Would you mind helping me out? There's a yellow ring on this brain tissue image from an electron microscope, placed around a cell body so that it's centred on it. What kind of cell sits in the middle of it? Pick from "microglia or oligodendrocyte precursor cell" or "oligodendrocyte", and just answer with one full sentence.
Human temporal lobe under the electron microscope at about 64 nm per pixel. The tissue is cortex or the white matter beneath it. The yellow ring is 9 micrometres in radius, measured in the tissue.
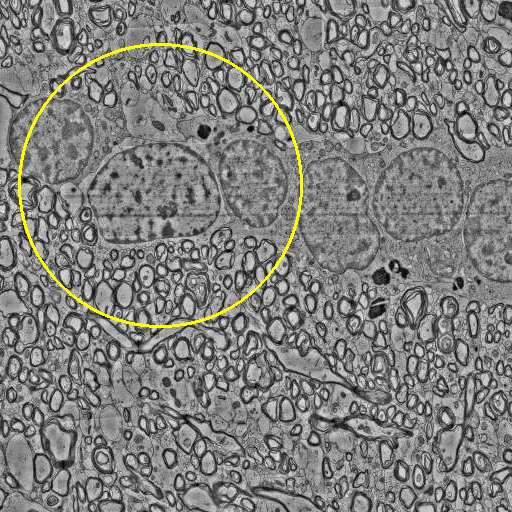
What sits in the middle of that yellow ring is a microglial cell or oligodendrocyte precursor cell, from your choices.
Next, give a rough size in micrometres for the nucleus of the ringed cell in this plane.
In this plane, the nucleus is roughly 9 by 6 micrometres.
